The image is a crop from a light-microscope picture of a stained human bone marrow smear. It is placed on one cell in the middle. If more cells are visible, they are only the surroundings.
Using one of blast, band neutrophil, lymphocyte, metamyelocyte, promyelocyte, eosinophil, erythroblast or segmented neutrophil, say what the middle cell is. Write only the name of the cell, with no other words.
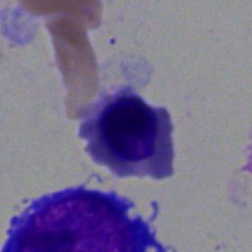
erythroblast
